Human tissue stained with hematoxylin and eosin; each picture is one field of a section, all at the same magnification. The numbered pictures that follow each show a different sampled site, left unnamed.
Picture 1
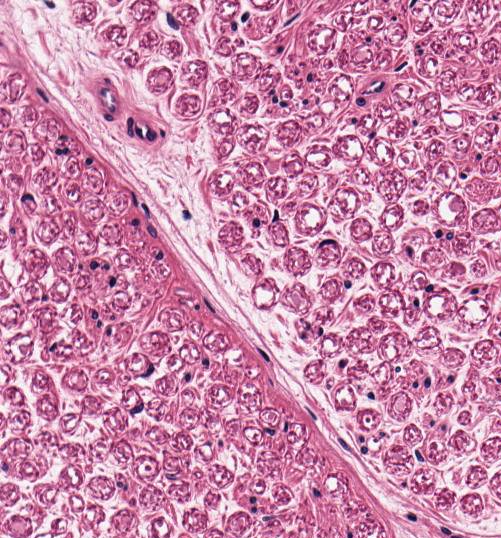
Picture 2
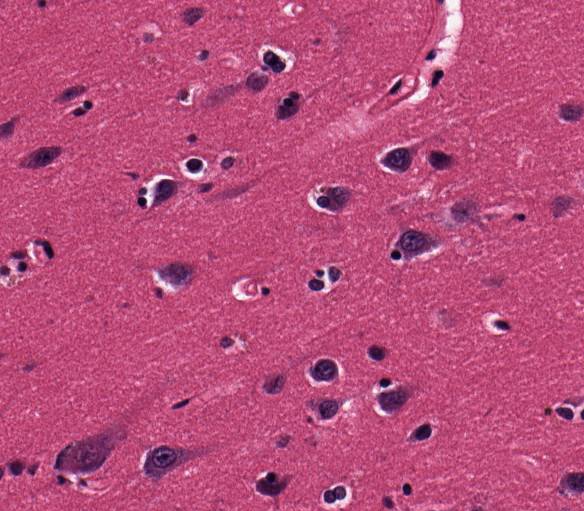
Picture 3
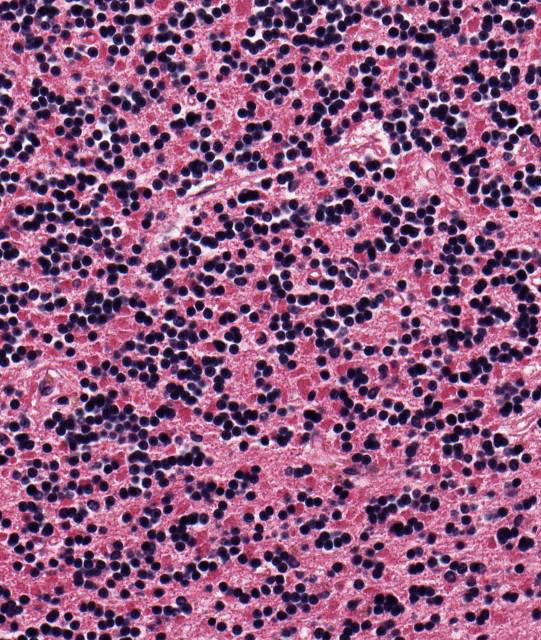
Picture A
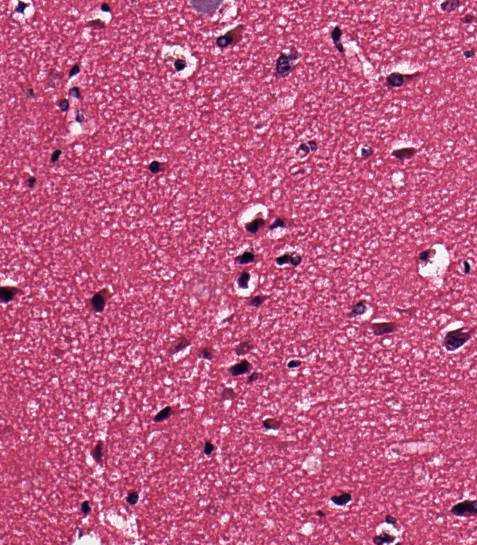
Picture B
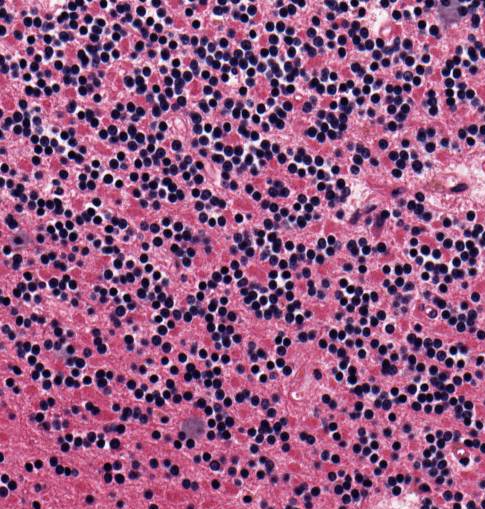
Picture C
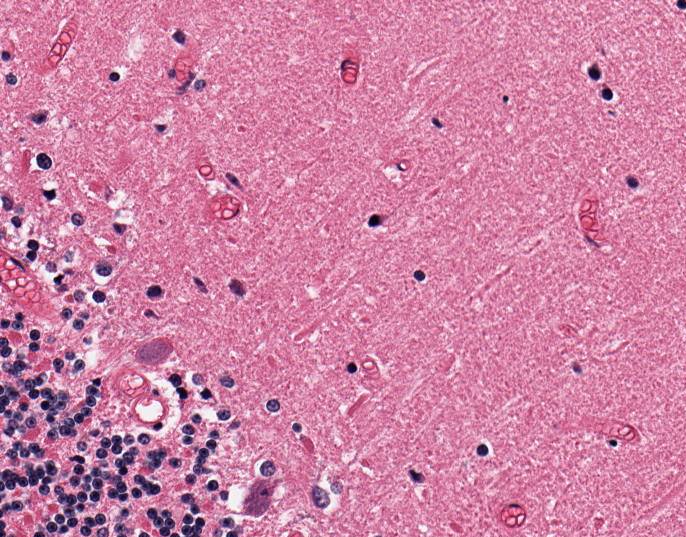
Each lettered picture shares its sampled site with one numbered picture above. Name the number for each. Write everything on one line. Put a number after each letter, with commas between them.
A 2, B 3, C 3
